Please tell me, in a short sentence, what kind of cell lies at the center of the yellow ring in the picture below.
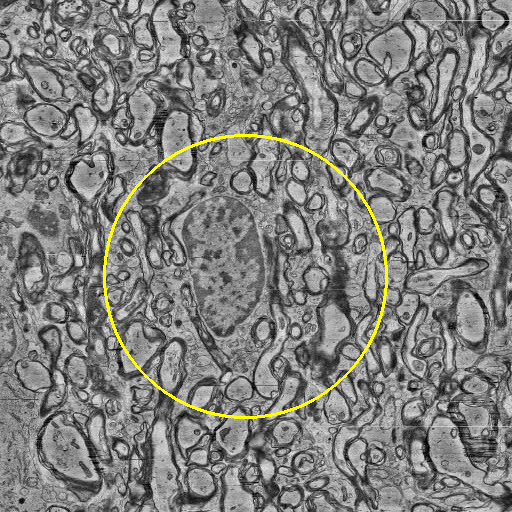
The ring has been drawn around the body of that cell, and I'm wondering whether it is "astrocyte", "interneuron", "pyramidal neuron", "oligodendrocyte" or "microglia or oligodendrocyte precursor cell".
The cell at the center of the ring is a microglial cell or oligodendrocyte precursor cell.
